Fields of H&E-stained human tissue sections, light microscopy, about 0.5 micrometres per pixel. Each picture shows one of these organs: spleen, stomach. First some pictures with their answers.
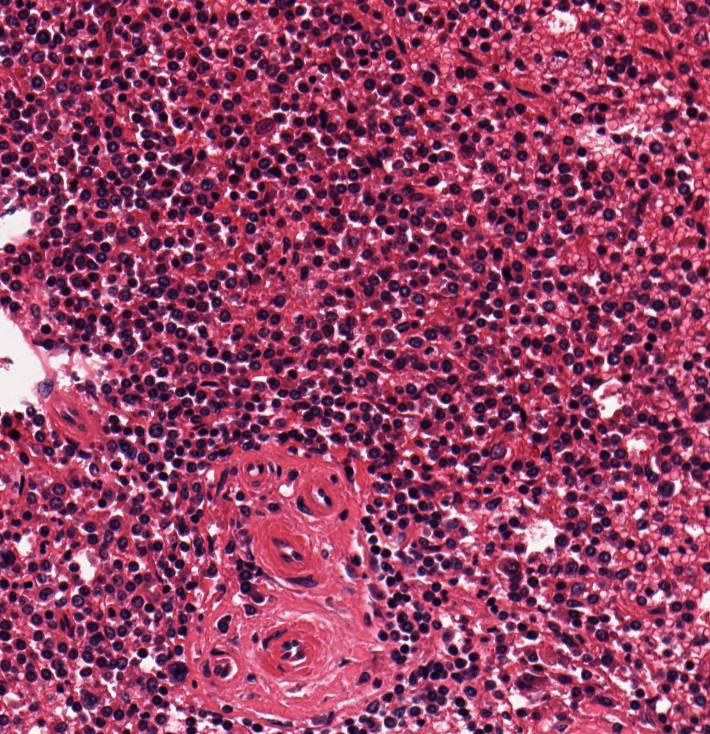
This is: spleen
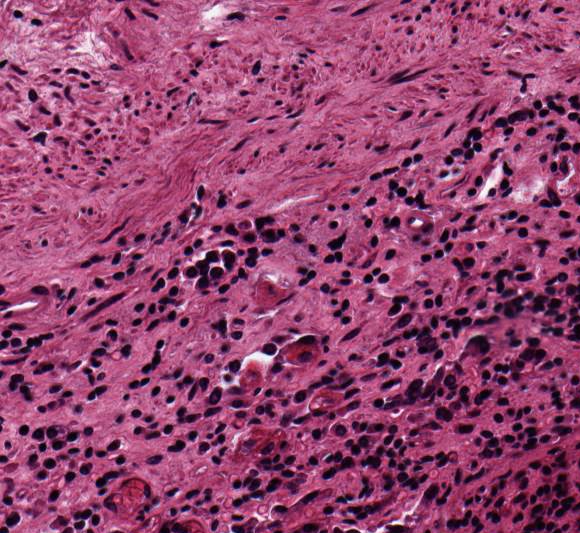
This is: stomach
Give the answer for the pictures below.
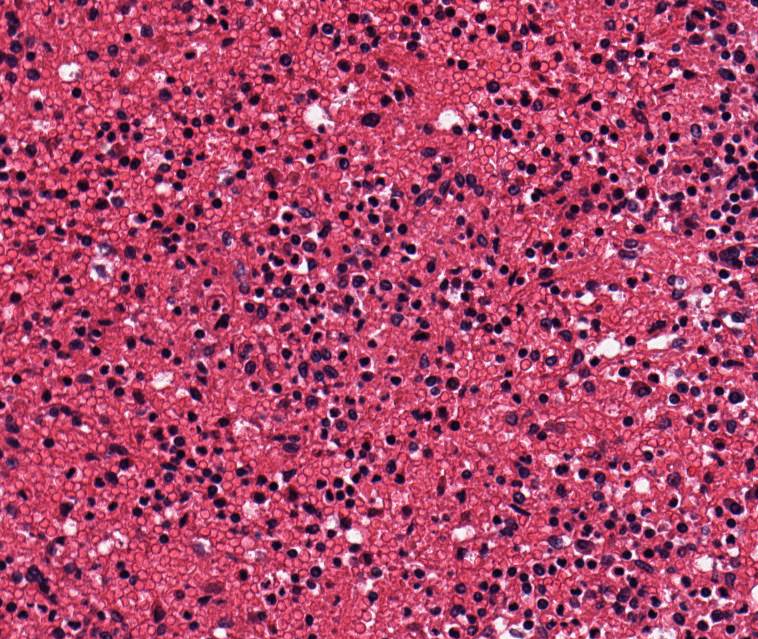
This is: spleen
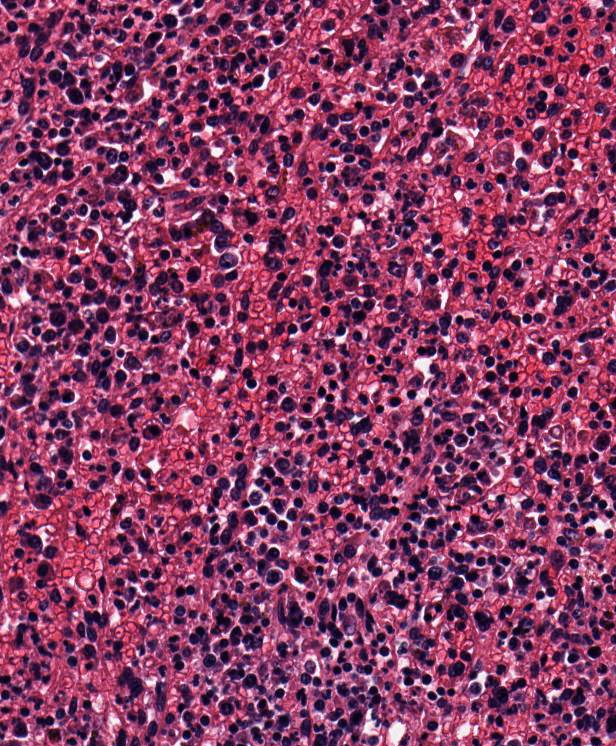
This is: spleen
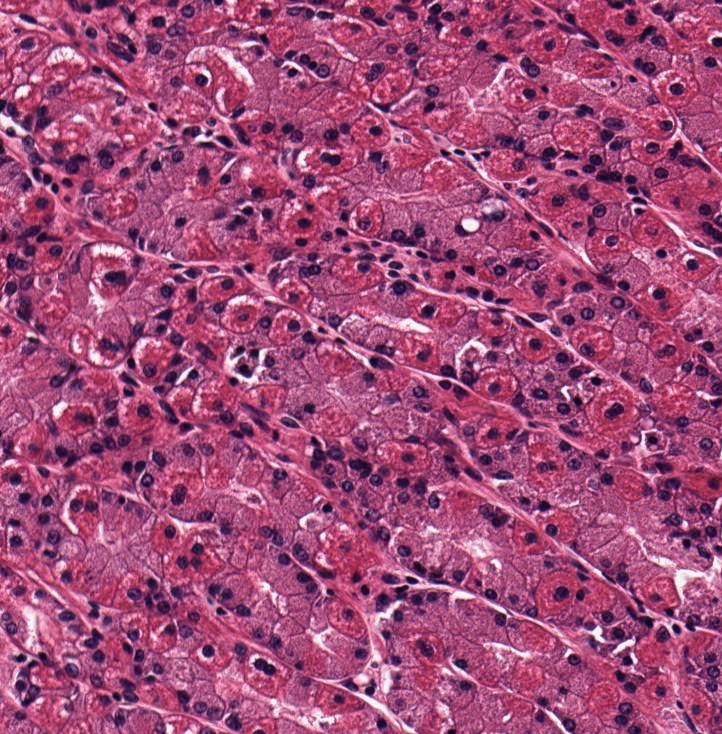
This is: stomach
